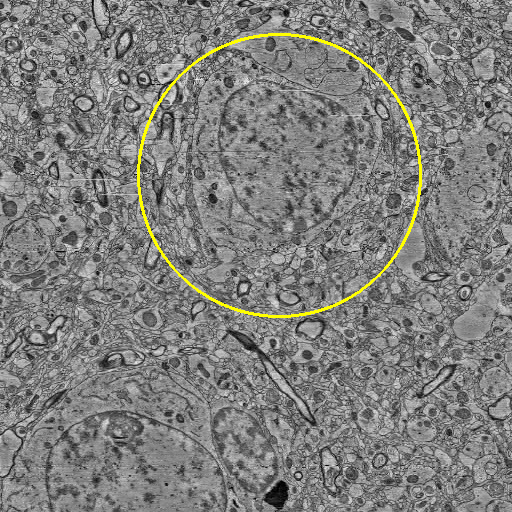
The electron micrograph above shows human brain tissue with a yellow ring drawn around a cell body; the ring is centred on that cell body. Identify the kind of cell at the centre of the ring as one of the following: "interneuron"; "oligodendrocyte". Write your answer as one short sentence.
The cell at the centre of the ring is an interneuron.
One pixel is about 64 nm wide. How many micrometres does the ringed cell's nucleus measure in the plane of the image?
In this plane the nucleus spans approximately 10 by 9 micrometers.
